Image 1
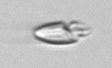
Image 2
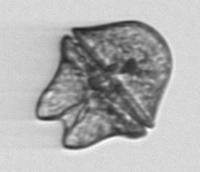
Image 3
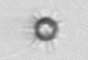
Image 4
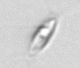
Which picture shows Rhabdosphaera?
Picture 3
